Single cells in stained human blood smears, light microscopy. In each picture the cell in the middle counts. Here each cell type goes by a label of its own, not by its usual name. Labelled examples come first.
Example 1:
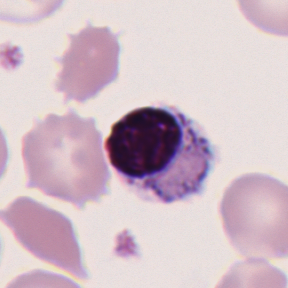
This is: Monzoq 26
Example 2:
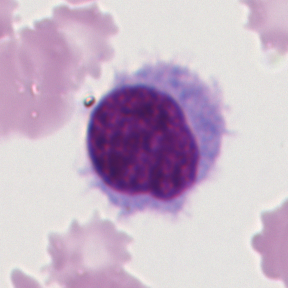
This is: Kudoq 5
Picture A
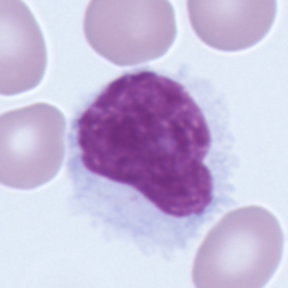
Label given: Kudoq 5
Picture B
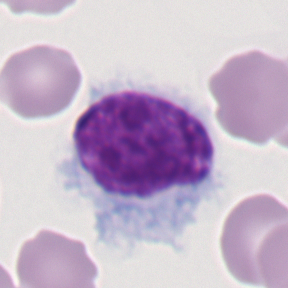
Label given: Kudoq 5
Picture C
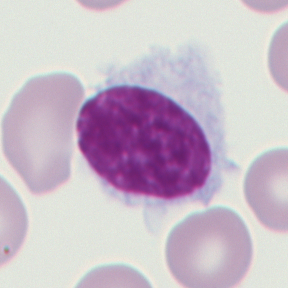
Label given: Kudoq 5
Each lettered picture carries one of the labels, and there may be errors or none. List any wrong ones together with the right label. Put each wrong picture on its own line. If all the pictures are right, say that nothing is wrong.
Every label is right.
